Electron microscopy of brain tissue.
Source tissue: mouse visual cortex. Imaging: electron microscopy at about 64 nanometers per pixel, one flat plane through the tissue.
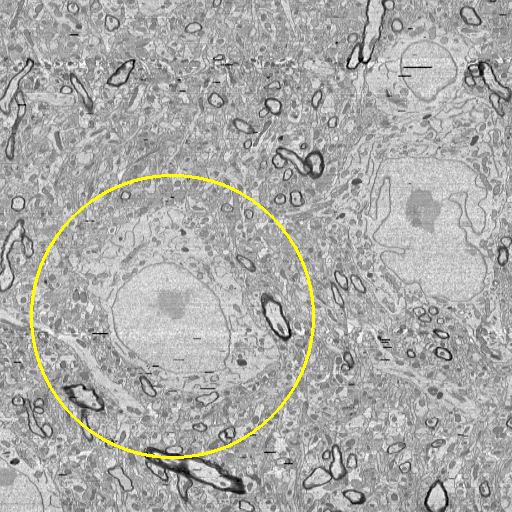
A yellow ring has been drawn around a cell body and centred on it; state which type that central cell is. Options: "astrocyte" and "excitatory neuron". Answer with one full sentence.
The cell at the middle of the yellow ring is an excitatory neuron in this picture.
